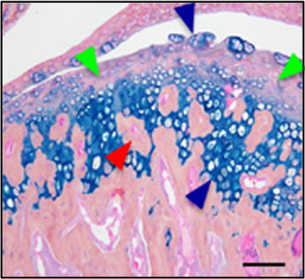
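The cartilage matrix stains blue, while bone and soft tissue appear pink. Many cells are large and rounded, sitting in clear lacunae surrounded by blue matrix. The articular surface is irregular, with clusters of cells bulging into the joint space instead of forming a smooth arc. Deeper in the blue cartilage zone, pink bone matrix is interspersed among the enlarged cells, so cartilage and bone are intermingled rather than sharply separated.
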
